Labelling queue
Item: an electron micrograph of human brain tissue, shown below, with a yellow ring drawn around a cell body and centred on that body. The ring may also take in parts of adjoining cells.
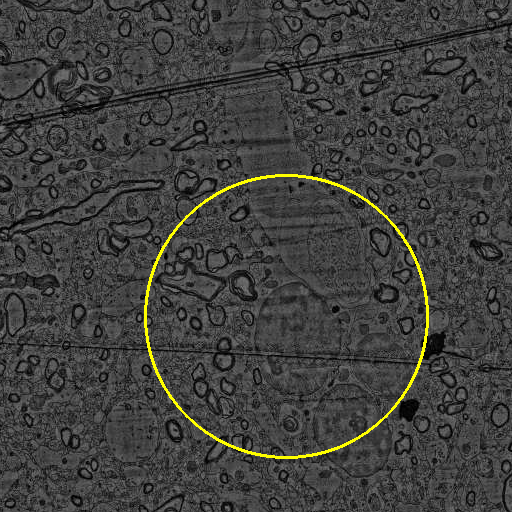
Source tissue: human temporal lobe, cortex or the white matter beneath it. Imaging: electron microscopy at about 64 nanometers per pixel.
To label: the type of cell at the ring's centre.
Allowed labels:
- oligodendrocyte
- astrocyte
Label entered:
oligodendrocyte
